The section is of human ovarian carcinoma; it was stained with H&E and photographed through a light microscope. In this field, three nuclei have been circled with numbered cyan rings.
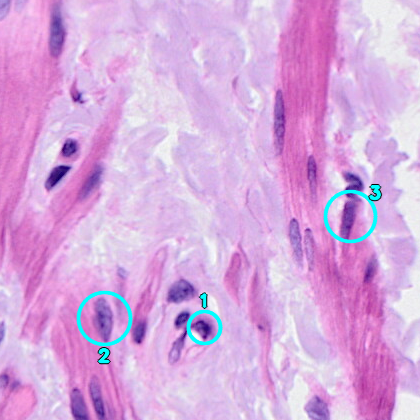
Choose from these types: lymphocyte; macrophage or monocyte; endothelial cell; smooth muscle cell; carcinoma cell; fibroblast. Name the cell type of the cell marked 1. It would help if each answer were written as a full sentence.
Recognised here as an endothelial cell is the cell numbered 1.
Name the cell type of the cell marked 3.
The cell tagged with 3 in this tissue section is a smooth muscle cell.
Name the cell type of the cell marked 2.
Cell 2 in the field of view is a smooth muscle cell.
